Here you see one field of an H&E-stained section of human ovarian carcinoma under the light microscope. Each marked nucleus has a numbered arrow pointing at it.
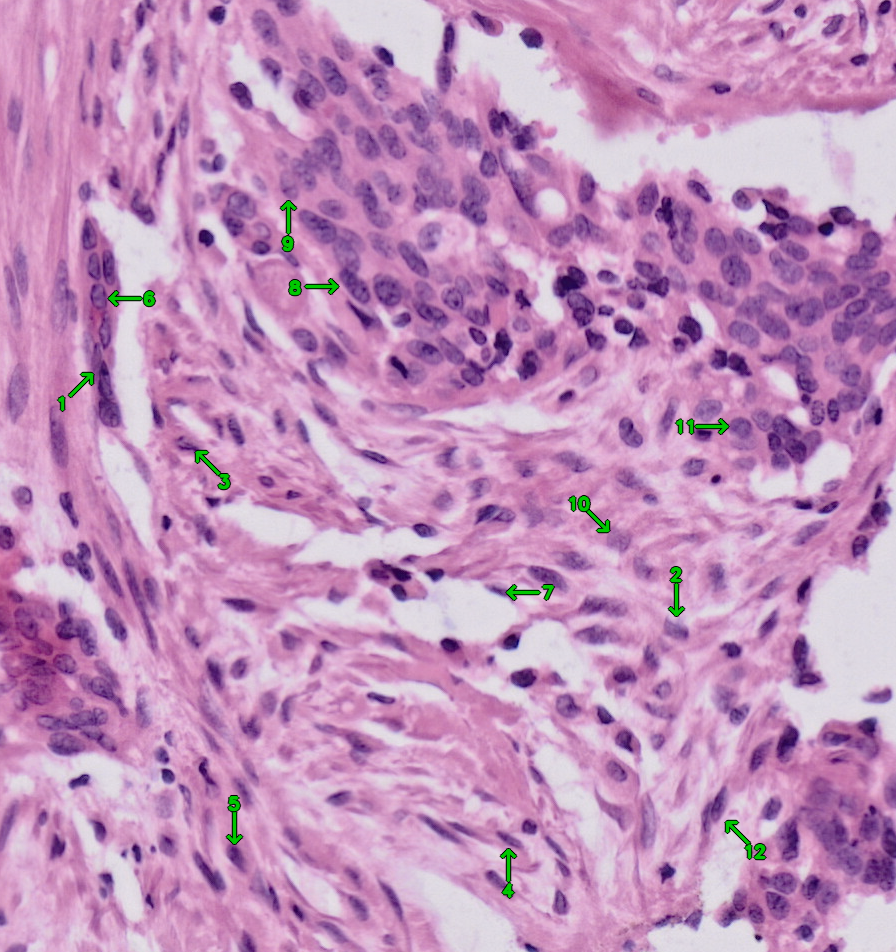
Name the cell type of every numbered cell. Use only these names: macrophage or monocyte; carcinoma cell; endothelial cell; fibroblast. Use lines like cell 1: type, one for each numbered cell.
cell 1: endothelial cell
cell 2: fibroblast
cell 3: fibroblast
cell 4: fibroblast
cell 5: fibroblast
cell 6: endothelial cell
cell 7: fibroblast
cell 8: carcinoma cell
cell 9: carcinoma cell
cell 10: fibroblast
cell 11: carcinoma cell
cell 12: fibroblast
